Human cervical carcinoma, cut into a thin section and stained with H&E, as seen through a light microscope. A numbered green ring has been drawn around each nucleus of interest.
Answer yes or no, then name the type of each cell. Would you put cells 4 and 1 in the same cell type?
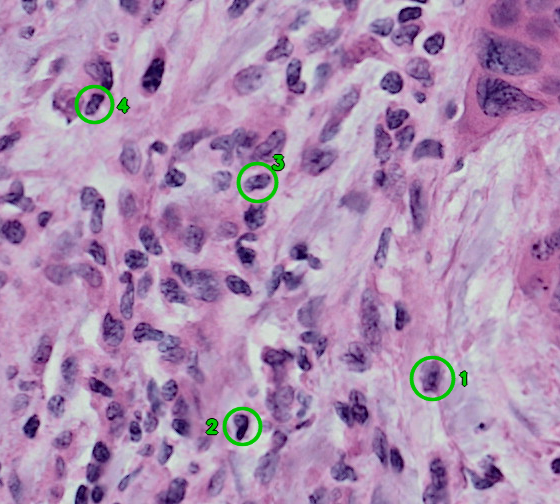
No, cell 4 here is a lymphocyte and cell 1 here is a macrophage or monocyte.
